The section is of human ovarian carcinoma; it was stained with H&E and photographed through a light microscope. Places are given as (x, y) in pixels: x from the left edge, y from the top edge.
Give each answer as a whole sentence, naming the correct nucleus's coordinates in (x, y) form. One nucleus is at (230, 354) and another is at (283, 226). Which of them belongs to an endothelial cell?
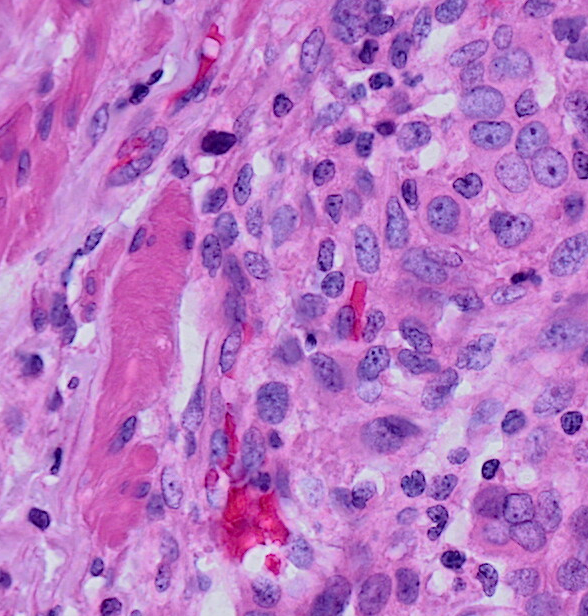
Among the two, the nucleus at (230, 354) is the nucleus of an endothelial cell.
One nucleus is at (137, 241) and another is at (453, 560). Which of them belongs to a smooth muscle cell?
Of the pair, the nucleus located at (137, 241) belongs to a smooth muscle cell.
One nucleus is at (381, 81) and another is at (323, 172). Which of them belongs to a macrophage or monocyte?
Among the two nuclei, the one found at (323, 172) belongs to a macrophage or monocyte.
